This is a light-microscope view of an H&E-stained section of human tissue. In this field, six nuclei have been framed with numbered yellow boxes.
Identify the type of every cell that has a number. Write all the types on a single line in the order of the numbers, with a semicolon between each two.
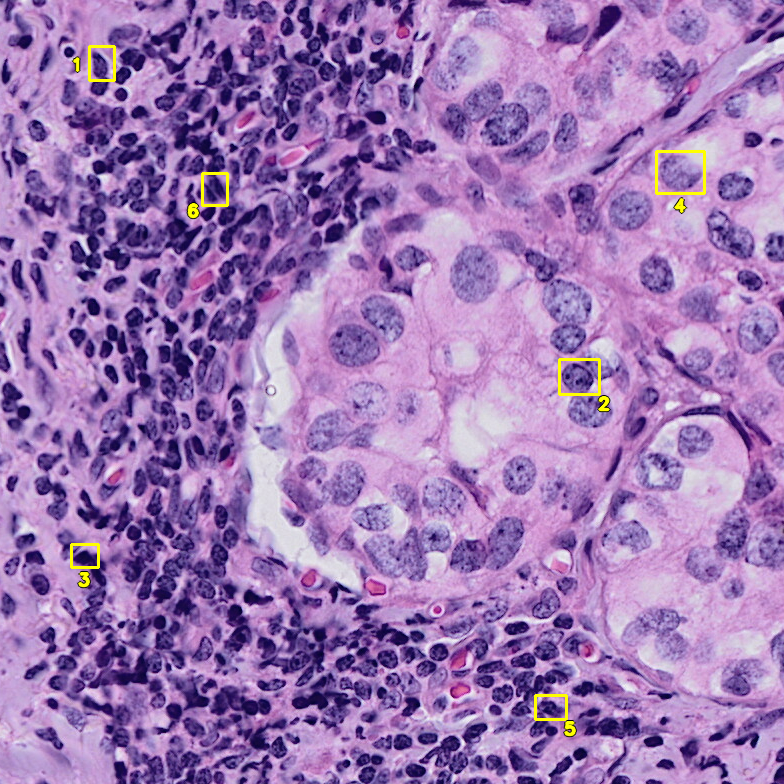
lymphocyte; carcinoma cell; lymphocyte; carcinoma cell; lymphocyte; lymphocyte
